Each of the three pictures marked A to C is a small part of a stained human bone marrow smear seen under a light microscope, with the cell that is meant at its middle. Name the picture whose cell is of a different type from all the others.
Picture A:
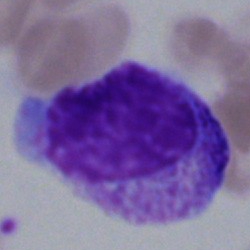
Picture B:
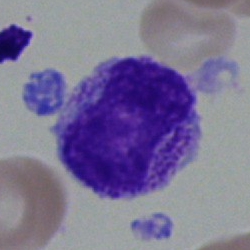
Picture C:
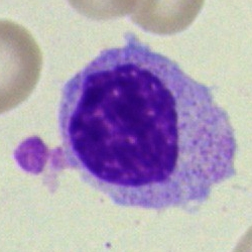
B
